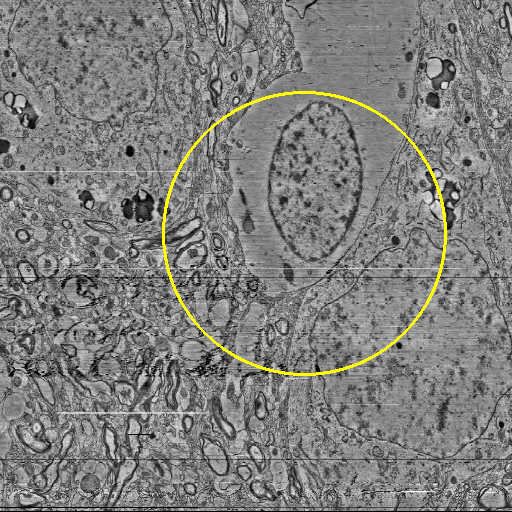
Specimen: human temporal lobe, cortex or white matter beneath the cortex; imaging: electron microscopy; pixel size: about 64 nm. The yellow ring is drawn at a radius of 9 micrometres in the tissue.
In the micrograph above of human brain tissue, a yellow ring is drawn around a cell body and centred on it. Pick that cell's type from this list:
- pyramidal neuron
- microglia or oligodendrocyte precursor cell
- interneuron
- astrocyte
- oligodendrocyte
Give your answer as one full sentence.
Going by the list, an astrocyte is the cell on which the yellow ring is centred.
